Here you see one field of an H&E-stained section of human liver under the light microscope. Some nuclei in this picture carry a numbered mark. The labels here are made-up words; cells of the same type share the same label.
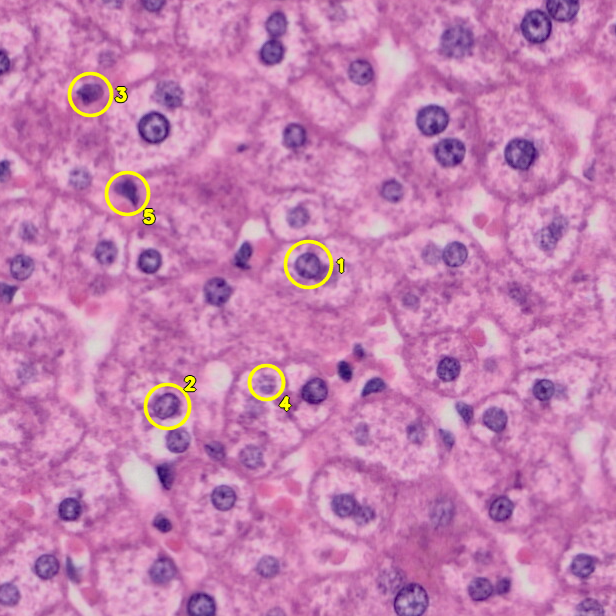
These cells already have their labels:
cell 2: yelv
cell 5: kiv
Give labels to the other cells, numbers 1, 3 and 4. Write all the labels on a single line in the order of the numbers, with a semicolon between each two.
yelv; kiv; yelv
